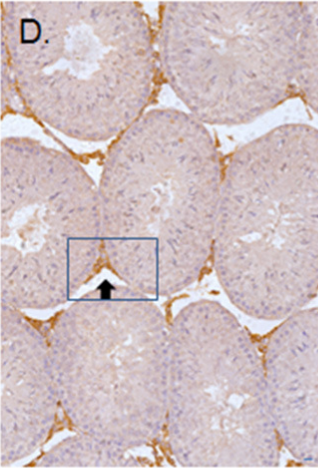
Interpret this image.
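This low-power view of testis shows many round seminiferous tubules cut in cross section and packed closely together. Each tubule has a thick stratified epithelium around a central lumen, stained pale beige with bluish nuclei. In the angular interstitial spaces between the tubules lie groups of cells stained dark brown. These brown interstitial clusters stand out sharply against the lightly stained tubules.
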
